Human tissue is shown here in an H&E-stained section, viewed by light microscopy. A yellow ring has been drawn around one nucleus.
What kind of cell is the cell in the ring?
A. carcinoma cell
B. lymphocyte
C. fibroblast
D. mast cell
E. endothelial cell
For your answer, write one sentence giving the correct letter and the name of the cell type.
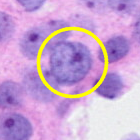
Of the options given, A is right: the cell in the ring is a carcinoma cell.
